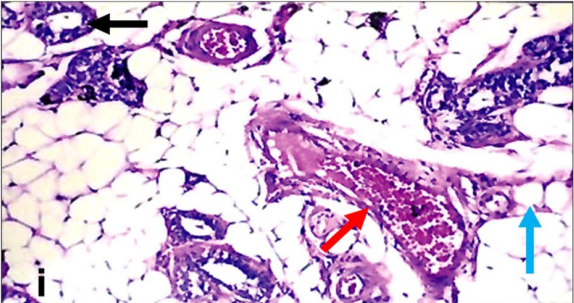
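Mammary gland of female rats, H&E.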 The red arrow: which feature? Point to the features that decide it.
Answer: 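The red arrow points into a wide, elongated vessel with a thin wall. The vessel lumen is packed with small pink-red blood cells.
Conclusion: dilated congested blood vessels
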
